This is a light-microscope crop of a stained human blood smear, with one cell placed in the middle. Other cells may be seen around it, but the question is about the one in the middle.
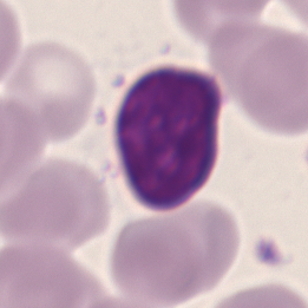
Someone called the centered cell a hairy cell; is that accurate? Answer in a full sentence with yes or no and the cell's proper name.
No, what is centred in the crop is not a hairy cell but a smudge cell.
